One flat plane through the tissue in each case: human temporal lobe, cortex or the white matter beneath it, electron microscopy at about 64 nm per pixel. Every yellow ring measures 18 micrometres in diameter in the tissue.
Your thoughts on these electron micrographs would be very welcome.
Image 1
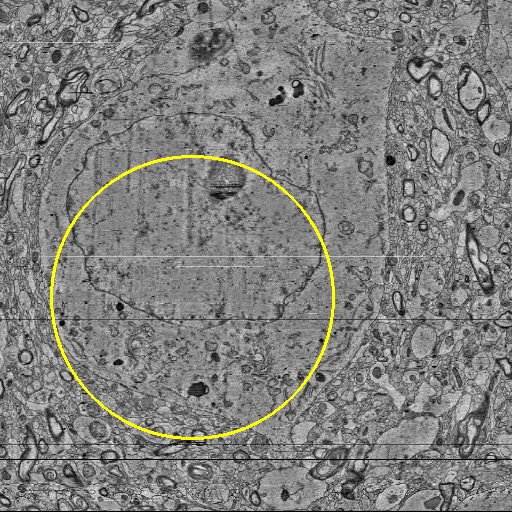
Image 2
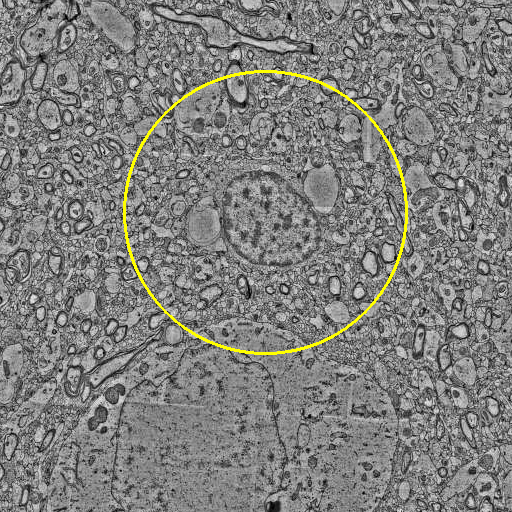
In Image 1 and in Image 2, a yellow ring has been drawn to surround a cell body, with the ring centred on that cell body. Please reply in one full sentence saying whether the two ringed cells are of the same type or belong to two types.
The ringed cells in Image 1 and Image 2 belong to two types.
